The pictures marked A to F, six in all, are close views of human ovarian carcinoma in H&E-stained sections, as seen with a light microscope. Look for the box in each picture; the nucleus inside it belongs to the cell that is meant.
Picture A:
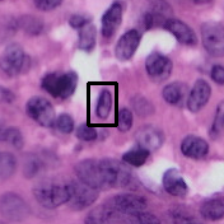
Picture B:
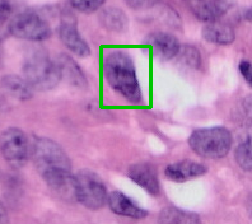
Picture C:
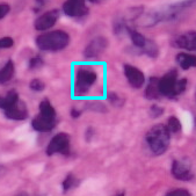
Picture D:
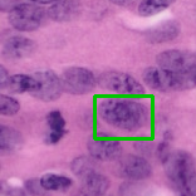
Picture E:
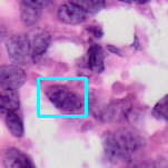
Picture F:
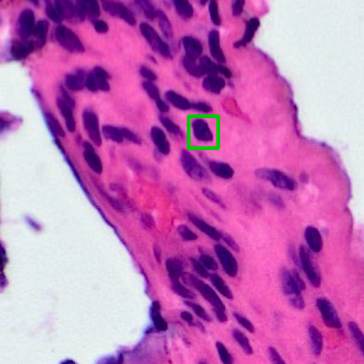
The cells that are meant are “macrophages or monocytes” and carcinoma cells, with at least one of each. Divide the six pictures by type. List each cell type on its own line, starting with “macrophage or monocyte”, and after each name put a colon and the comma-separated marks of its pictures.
macrophage or monocyte: A, C, F
carcinoma cell: B, D, E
